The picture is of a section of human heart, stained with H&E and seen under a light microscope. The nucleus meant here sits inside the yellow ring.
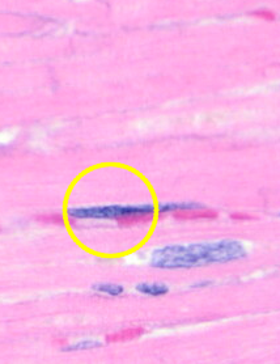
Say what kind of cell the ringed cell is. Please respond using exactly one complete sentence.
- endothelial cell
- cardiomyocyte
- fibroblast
As far as its identity is concerned, the ringed cell is an endothelial cell.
